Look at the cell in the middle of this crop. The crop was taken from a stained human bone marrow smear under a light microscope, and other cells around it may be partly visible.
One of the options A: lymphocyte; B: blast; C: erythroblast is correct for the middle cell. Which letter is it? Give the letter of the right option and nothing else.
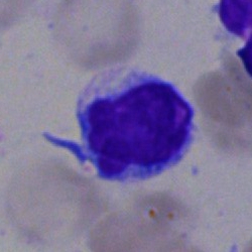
A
